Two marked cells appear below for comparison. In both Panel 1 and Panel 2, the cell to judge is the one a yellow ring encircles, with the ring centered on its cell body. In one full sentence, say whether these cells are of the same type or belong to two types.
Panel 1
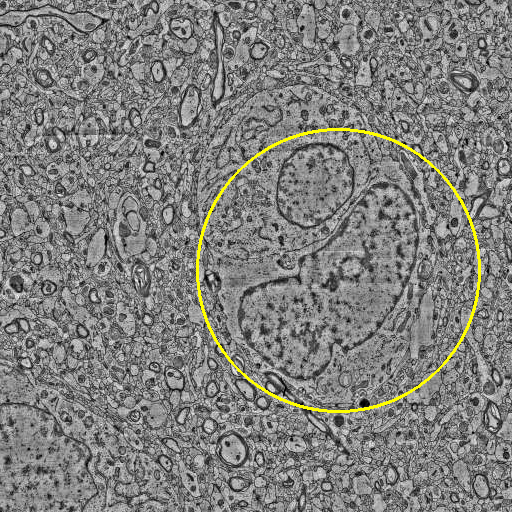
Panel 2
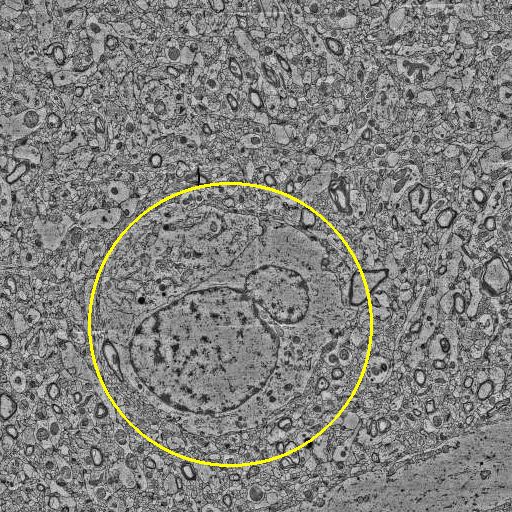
The cell centered in the Panel 1 ring and the one in Panel 2 are of the same type.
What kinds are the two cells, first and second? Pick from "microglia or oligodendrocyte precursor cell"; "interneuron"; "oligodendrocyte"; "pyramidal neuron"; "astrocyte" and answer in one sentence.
The cell in the first picture is a microglial cell or oligodendrocyte precursor cell, and so is the one in the second.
